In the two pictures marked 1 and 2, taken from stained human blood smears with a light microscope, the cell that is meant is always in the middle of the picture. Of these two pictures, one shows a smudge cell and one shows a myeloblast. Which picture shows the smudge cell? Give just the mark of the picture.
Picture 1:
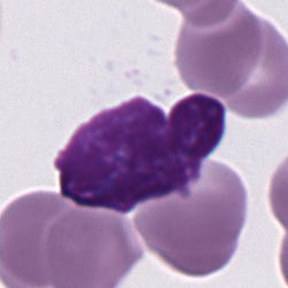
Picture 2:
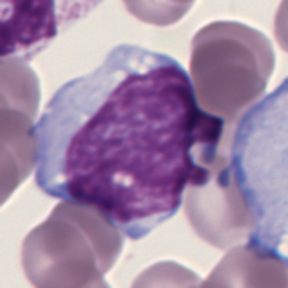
1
